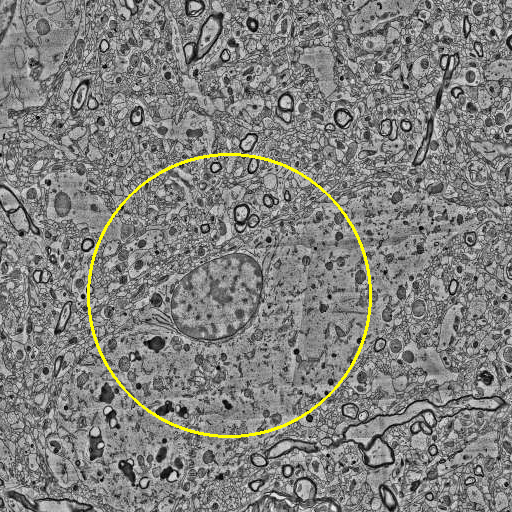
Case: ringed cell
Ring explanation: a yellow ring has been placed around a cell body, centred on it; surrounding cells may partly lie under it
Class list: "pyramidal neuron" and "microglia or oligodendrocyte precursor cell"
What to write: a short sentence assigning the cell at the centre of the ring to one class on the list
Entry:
The cell at the ring's centre is a microglial cell or oligodendrocyte precursor cell.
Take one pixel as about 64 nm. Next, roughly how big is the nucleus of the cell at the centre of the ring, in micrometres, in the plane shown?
In this plane, roughly 6 by 5 micrometres.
